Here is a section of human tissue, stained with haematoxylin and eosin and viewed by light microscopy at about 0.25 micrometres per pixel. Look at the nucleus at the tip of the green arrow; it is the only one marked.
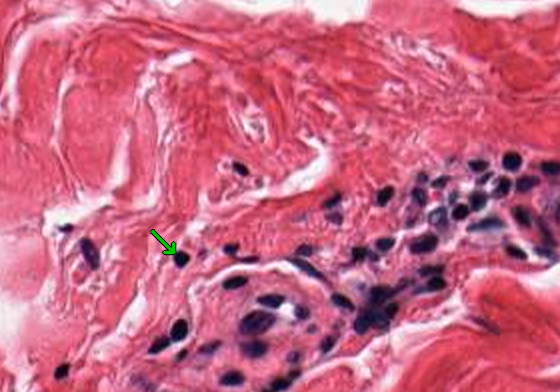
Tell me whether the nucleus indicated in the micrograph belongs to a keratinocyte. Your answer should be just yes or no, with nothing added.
no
